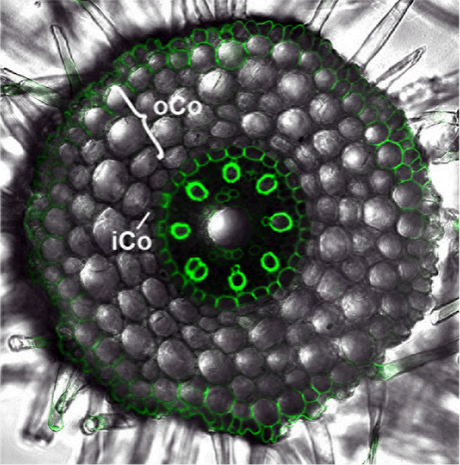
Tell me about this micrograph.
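This is a cross section of a root, with an outer skin layer, a thick cortex of many large rounded cells, and a small central cylinder. The walls of the outermost layer and of the layer just beneath it are outlined in green, while the many cortical cells further in show no green in their walls. A ring of small cells around the central cylinder is outlined in green, marking the endodermis. Inside it, eight thick-walled round vessels glow bright green in a ring around one larger central vessel, the peripheral and central meta xylem. Long root hairs extend from the surface into the background.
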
